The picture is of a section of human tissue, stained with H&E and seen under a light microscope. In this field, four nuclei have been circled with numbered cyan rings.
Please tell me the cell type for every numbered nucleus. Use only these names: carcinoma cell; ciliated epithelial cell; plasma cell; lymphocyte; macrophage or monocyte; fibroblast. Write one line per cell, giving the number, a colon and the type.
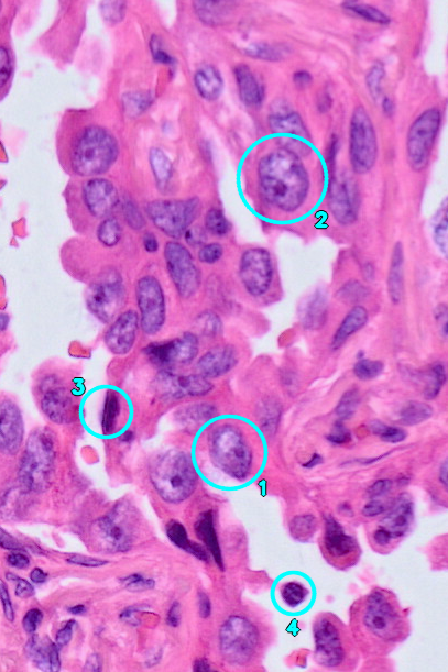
1: carcinoma cell
2: carcinoma cell
3: carcinoma cell
4: lymphocyte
